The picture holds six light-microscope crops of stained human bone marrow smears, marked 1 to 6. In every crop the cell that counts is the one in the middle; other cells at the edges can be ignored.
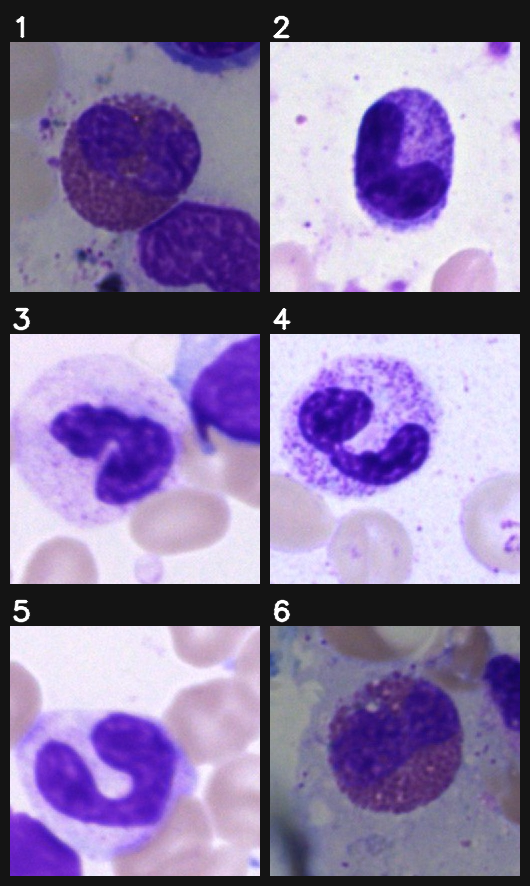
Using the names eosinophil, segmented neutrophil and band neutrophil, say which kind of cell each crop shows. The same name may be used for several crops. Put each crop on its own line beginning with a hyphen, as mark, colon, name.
- 1: eosinophil
- 2: band neutrophil
- 3: segmented neutrophil
- 4: segmented neutrophil
- 5: band neutrophil
- 6: eosinophil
